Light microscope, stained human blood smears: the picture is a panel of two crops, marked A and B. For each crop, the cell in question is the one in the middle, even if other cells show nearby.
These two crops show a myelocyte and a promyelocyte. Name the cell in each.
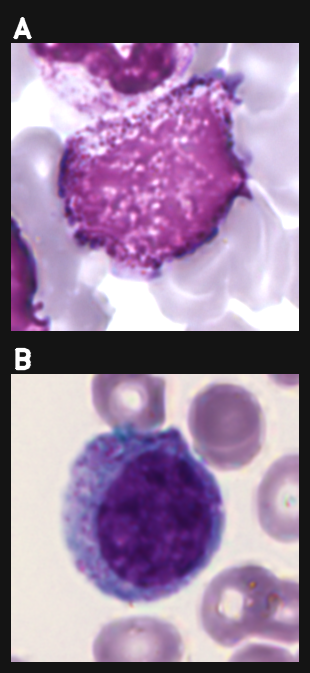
A: myelocyte
B: promyelocyte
